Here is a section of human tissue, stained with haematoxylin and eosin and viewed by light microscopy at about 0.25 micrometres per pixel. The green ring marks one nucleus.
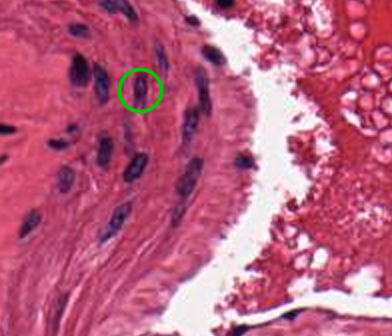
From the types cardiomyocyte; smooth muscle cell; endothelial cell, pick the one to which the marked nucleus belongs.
smooth muscle cell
